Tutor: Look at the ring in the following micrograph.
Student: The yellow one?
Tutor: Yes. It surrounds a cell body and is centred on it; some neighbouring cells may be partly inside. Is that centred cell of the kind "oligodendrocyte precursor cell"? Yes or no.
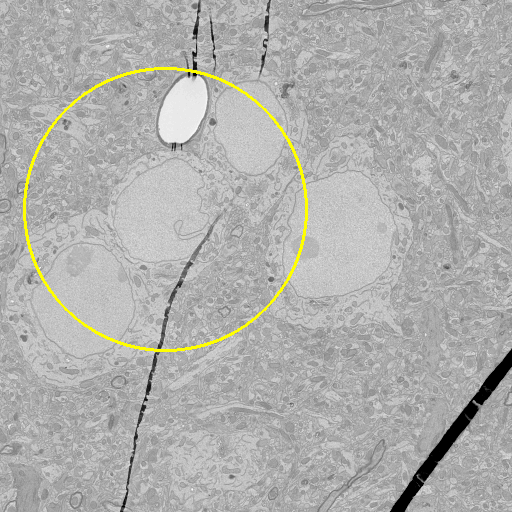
no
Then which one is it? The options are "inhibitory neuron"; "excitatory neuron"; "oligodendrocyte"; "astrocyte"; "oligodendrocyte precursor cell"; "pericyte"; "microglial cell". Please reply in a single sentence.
The cell in the ring is an inhibitory neuron instead.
